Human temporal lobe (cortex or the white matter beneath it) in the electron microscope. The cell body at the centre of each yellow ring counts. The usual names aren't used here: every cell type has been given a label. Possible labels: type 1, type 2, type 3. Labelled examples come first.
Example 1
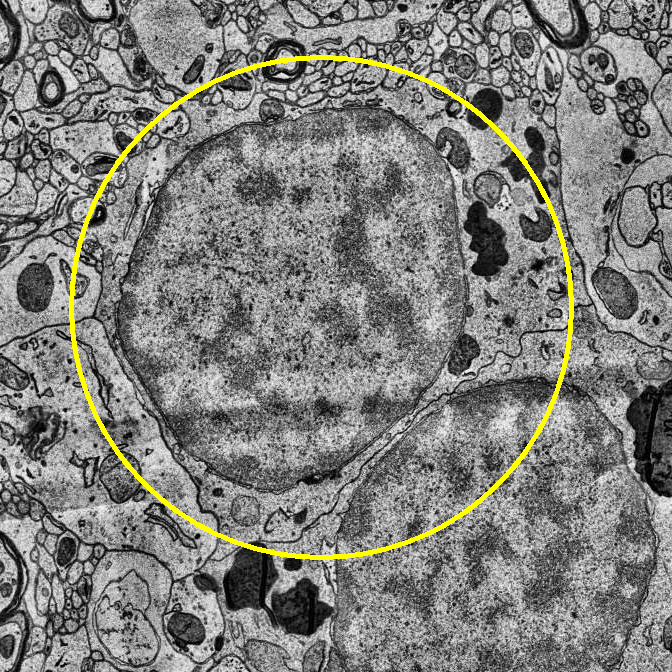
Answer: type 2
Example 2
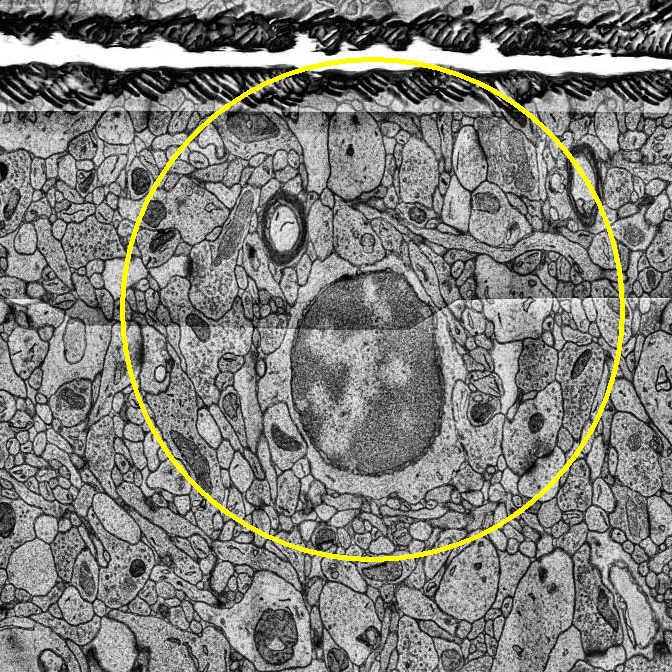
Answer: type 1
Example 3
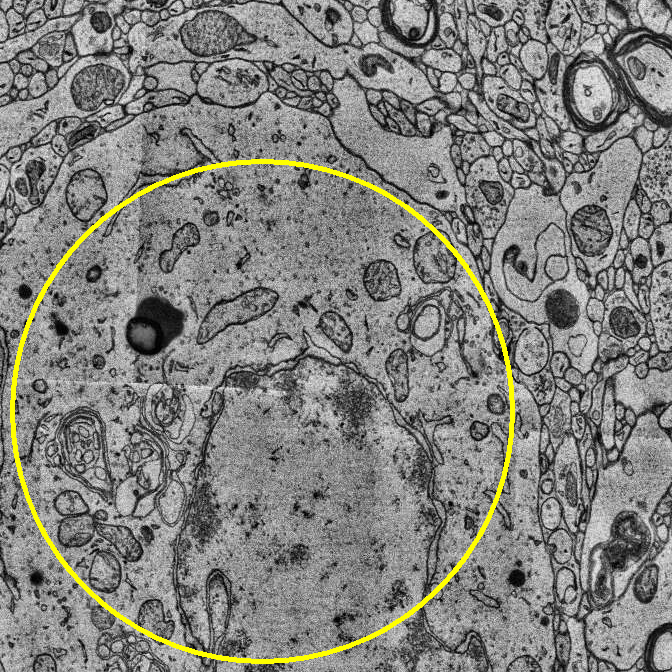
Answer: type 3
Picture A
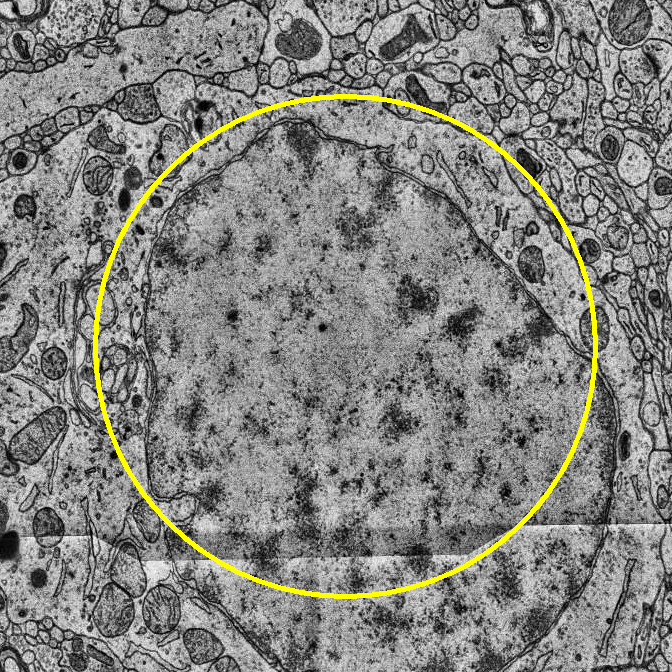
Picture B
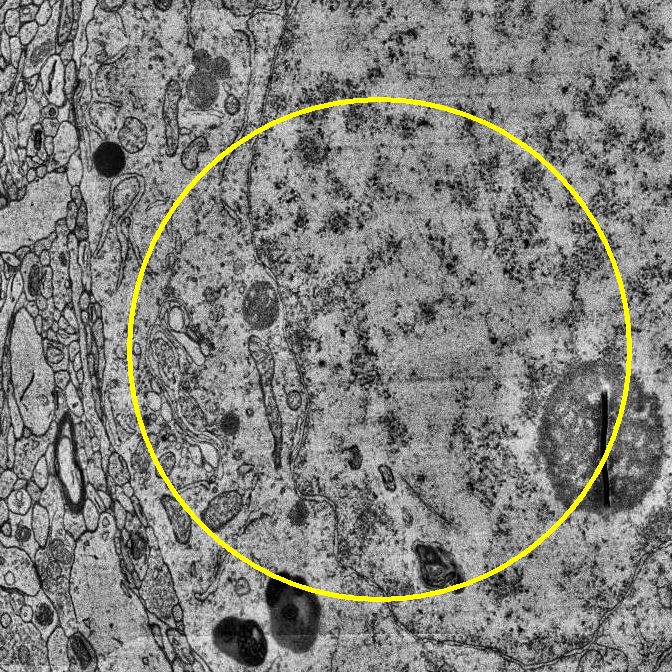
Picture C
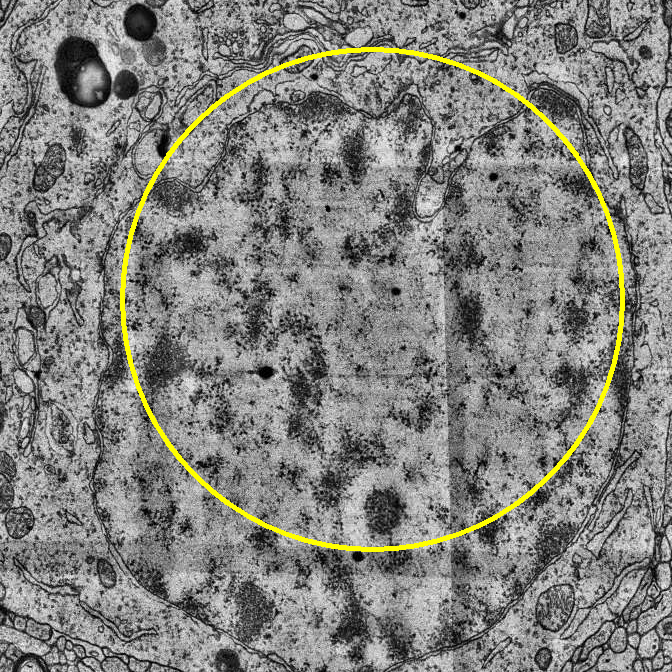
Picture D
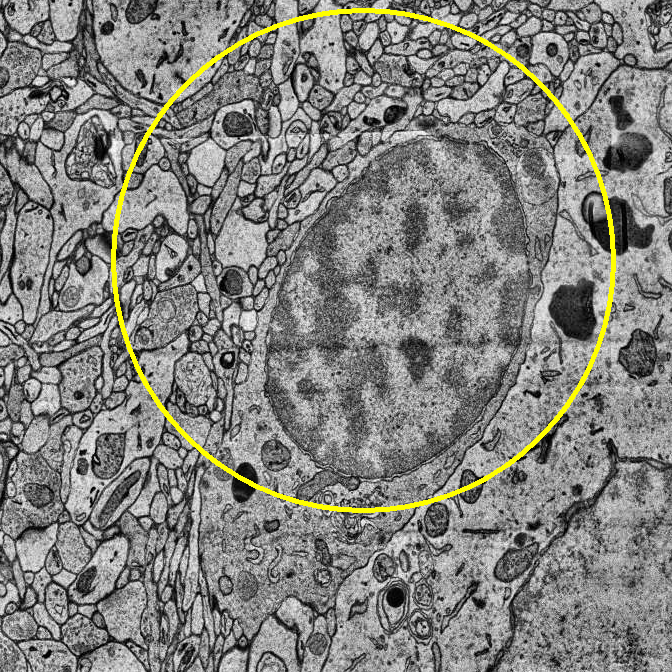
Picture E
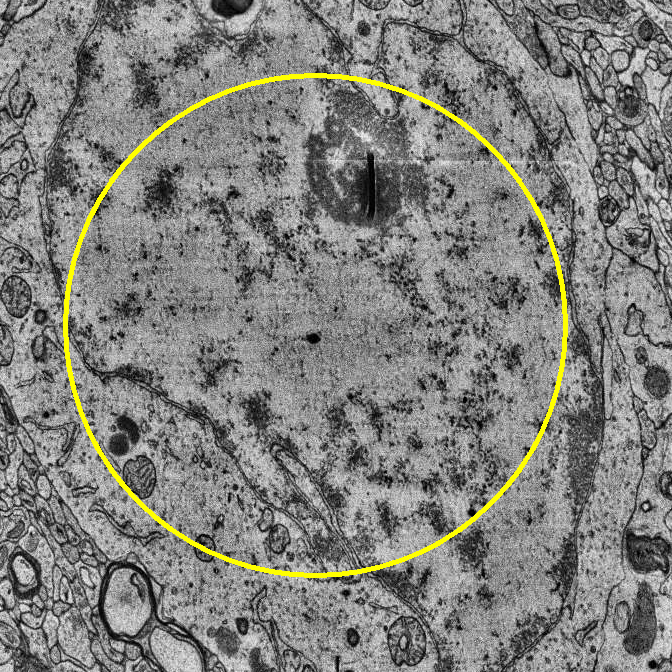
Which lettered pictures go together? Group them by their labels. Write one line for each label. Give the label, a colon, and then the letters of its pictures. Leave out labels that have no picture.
type 2: D
type 3: A, B, C, E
